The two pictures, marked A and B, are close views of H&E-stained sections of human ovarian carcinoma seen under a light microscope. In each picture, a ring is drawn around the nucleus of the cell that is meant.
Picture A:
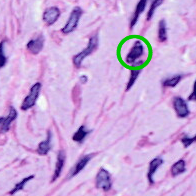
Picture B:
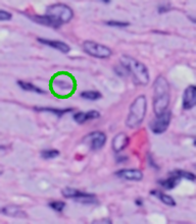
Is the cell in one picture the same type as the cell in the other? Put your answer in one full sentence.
No. Picture A shows a lymphocyte, but picture B shows a fibroblast.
